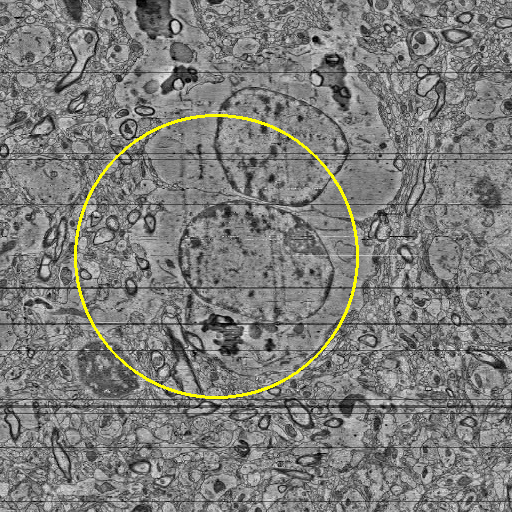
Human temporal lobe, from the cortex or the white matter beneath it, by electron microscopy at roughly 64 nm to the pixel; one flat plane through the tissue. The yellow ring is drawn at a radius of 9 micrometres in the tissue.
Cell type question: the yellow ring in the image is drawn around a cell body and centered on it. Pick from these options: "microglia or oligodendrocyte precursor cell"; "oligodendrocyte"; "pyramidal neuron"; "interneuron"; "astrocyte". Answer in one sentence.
The ringed cell at the center is an astrocyte.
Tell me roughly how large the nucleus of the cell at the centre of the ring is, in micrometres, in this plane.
In this plane, approximately 10 by 8 micrometers.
